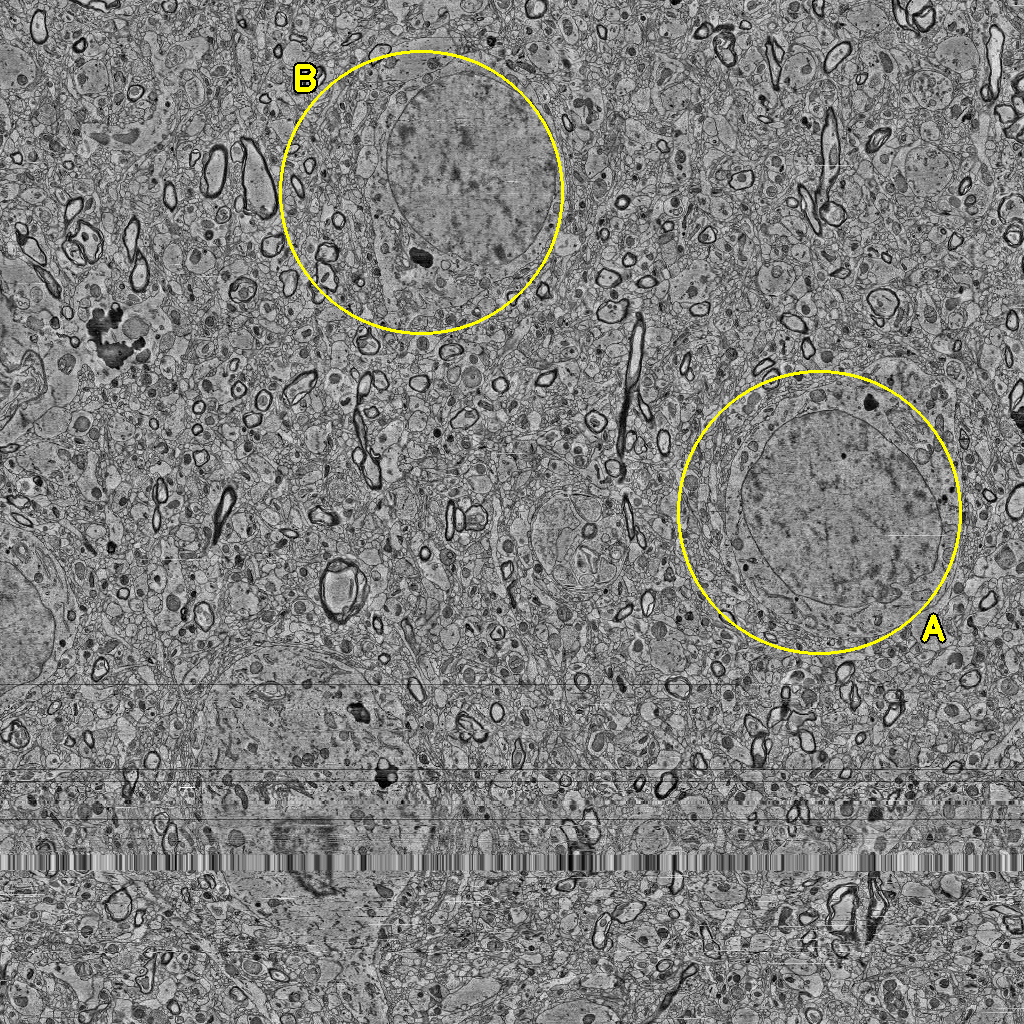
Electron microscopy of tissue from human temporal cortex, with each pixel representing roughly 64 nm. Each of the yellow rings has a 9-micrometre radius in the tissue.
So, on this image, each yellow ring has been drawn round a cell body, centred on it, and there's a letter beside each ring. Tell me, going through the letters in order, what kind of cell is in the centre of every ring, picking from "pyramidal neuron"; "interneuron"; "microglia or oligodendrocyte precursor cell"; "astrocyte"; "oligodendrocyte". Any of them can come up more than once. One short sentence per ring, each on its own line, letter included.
Ring A has been drawn round a pyramidal neuron.
Ring B has been drawn round an interneuron.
